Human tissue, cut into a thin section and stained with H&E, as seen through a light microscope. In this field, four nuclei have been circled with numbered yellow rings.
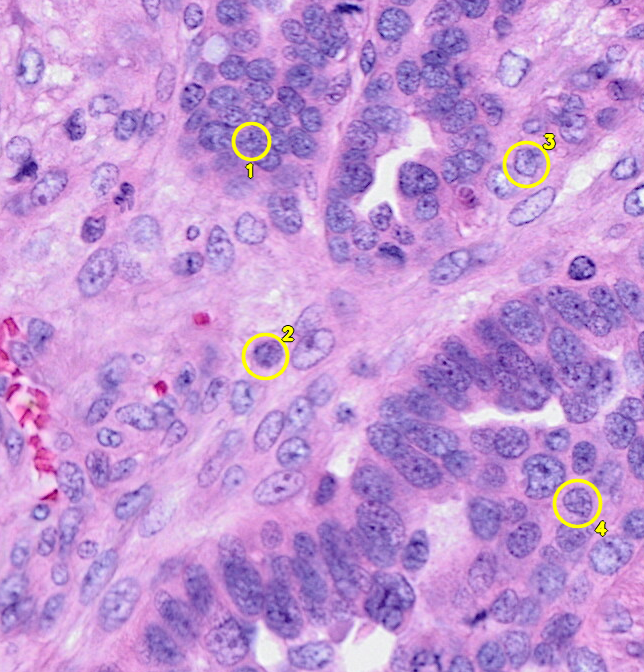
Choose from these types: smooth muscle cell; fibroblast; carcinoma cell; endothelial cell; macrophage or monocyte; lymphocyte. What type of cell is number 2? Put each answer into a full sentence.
At number 2, the marked cell is a macrophage or monocyte.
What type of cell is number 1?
In the tissue shown, cell 1 is a carcinoma cell.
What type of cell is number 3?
Cell 3 of the marked set is a fibroblast.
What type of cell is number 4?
The numbered cell 4 is identified here as a carcinoma cell.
